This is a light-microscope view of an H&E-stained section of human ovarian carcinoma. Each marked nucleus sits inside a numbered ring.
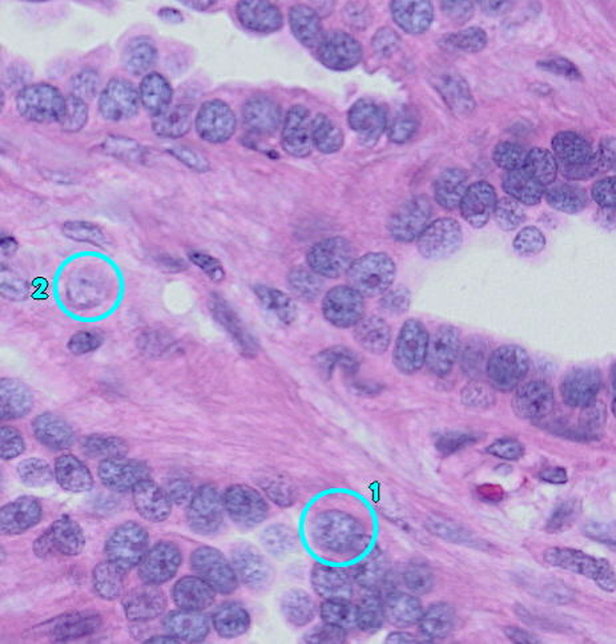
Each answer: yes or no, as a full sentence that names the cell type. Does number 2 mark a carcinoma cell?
No, cell 2 is not a carcinoma cell; a fibroblast is the correct identification.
